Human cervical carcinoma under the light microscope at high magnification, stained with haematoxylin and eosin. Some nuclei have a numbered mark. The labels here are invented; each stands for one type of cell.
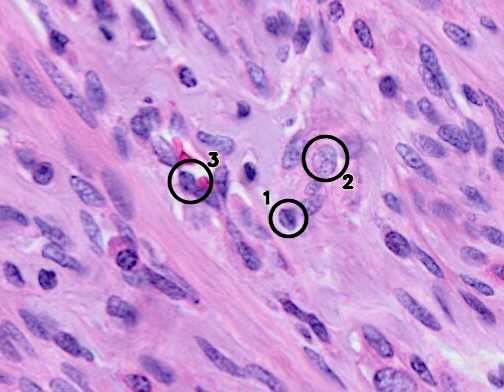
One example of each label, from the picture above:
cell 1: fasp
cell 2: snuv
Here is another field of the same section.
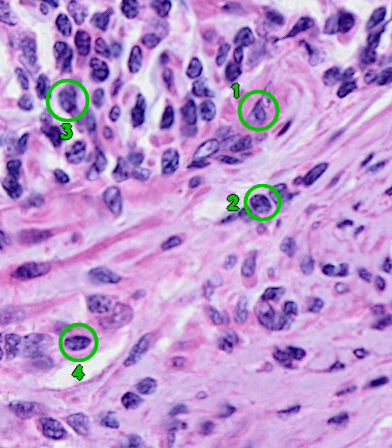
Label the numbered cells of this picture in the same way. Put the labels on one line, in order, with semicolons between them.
snuv; fasp; fasp; fasp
